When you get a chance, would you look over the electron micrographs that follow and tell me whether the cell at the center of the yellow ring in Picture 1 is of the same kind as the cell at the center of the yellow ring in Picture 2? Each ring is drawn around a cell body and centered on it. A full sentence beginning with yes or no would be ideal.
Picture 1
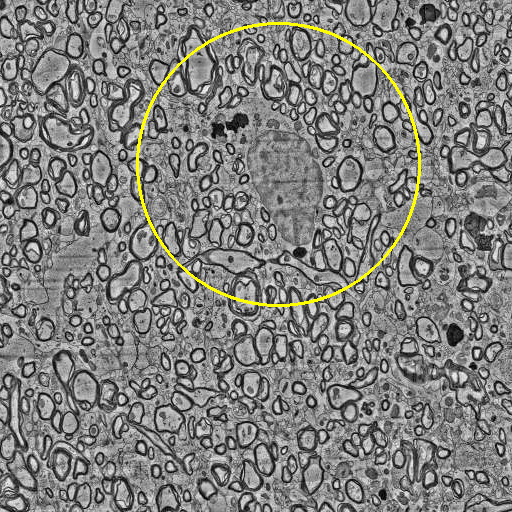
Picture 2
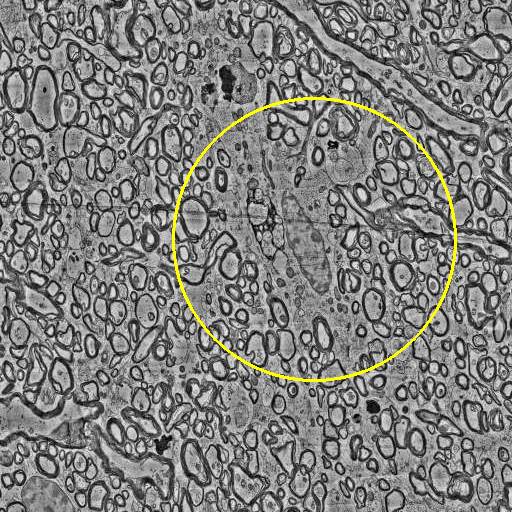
No, they are two kinds of cell.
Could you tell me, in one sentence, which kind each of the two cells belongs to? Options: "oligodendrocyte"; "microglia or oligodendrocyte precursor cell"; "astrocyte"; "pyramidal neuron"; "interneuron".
At the centre of the first ring sits an oligodendrocyte, and at the centre of the second sits an astrocyte.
